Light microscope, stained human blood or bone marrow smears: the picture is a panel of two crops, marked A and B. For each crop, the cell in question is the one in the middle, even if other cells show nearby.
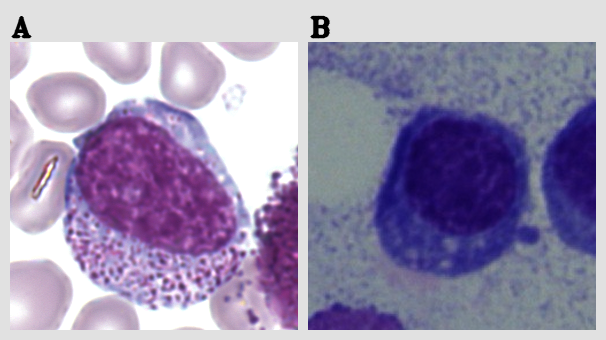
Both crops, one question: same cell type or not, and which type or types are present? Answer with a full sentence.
No, the cell of interest in crop A is a promyelocyte, and in crop B it is a plasma cell.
